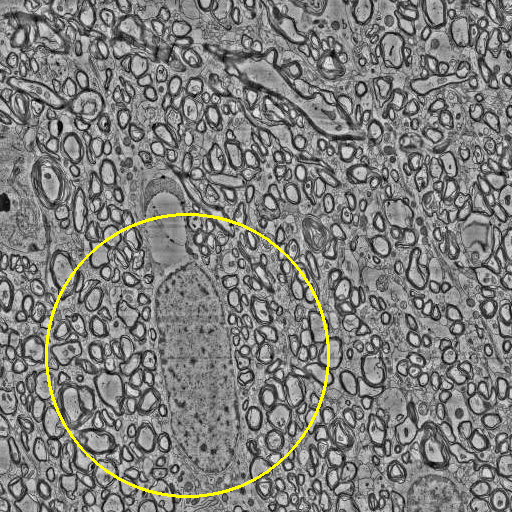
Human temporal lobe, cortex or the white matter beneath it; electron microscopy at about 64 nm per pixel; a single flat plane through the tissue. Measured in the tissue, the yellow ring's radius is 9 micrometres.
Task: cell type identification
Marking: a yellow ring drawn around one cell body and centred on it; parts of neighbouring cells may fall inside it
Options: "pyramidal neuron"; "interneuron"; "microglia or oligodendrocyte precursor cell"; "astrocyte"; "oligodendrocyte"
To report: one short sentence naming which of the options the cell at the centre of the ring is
The cell at the centre of the ring is an astrocyte.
